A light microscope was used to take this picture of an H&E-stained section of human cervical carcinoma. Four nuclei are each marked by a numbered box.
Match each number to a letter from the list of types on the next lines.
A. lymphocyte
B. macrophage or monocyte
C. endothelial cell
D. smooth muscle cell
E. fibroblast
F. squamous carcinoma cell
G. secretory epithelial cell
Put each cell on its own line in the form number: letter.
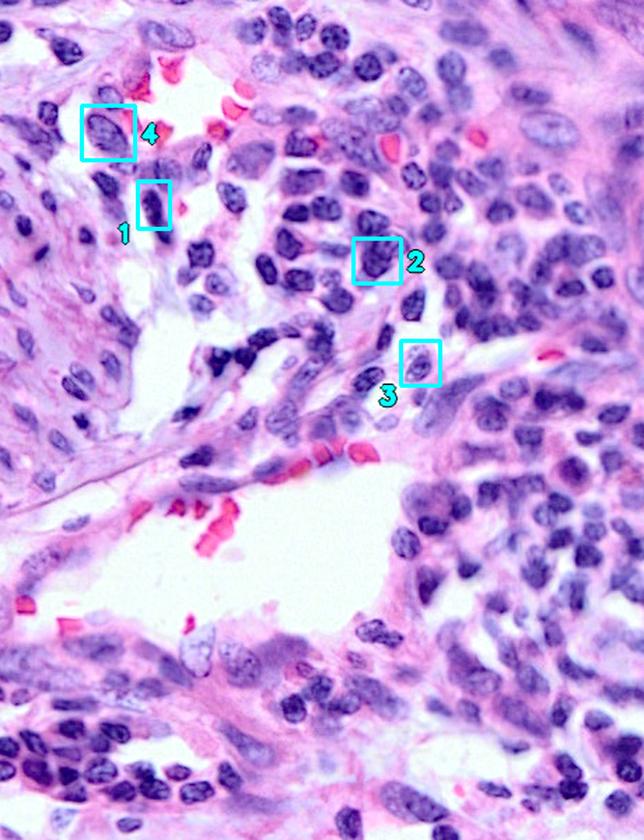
1: A
2: A
3: A
4: C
